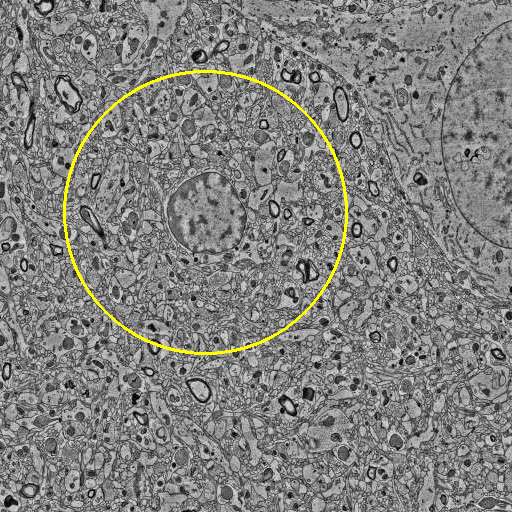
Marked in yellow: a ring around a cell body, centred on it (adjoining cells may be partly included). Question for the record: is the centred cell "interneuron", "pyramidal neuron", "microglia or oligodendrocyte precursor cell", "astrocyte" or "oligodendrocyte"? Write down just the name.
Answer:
microglia or oligodendrocyte precursor cell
